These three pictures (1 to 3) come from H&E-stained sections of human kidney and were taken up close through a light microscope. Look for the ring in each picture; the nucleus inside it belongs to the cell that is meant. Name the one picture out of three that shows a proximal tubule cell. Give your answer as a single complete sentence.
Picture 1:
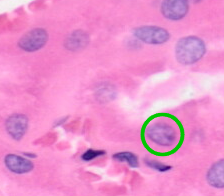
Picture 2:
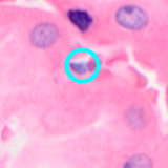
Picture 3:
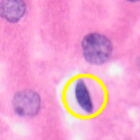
The picture with the proximal tubule cell is 1.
